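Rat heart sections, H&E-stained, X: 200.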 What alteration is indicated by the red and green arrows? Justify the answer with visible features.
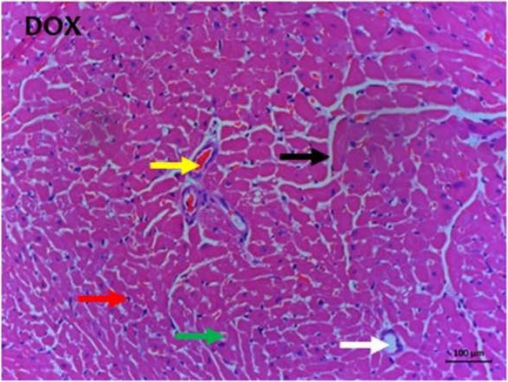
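Necrosis cells and pyknotic nuclei. The arrows point into an area of cross-cut muscle fibres separated by pale spaces. Small dark nuclei lie among the fibres there.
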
